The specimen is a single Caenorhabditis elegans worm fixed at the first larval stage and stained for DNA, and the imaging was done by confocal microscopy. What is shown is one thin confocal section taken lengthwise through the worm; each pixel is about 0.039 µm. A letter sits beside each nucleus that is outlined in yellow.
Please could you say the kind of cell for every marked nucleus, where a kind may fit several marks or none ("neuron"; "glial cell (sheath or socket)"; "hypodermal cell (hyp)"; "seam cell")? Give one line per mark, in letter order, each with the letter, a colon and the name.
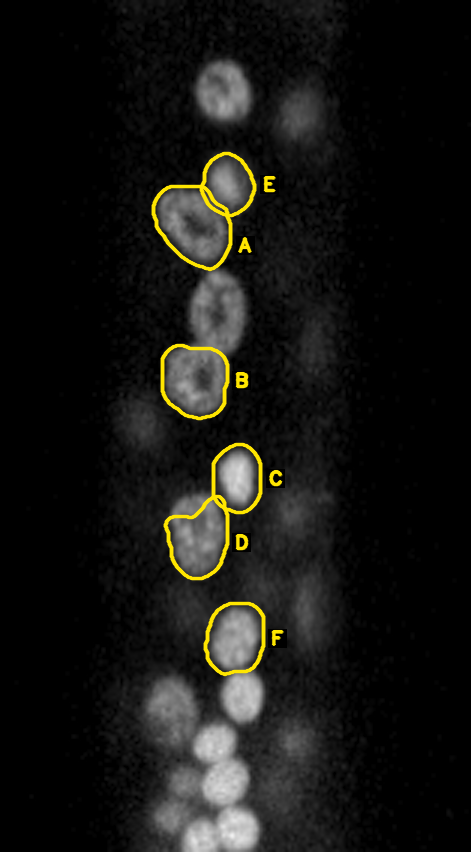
A: hypodermal cell (hyp)
B: hypodermal cell (hyp)
C: glial cell (sheath or socket)
D: seam cell
E: neuron
F: neuron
